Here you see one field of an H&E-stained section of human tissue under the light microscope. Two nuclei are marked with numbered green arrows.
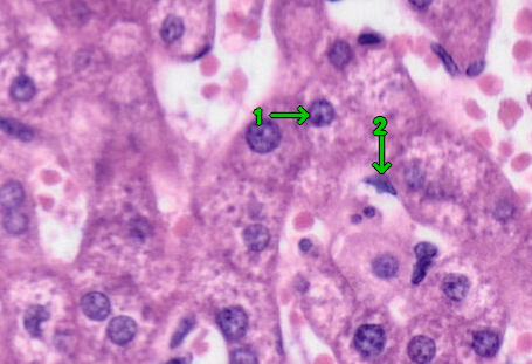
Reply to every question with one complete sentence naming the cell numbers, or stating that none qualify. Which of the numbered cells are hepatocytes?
Only the cell with number 1 is a hepatocyte.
